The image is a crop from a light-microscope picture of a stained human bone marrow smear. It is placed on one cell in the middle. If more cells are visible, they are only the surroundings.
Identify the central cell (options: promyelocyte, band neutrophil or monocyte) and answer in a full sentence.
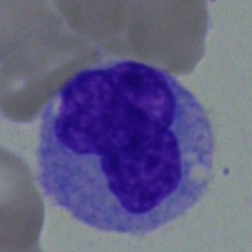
Occupying the centre of the crop is a monocyte.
